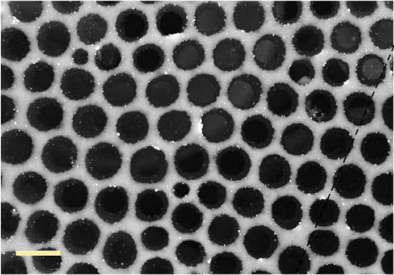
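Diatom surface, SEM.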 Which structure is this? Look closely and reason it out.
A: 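Many round dark openings of similar size fill the field. Each opening is surrounded by about six neighbours in a regular close packing. Pale material forms thin walls between the openings.
Answer: hexagonal lattice of pores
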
